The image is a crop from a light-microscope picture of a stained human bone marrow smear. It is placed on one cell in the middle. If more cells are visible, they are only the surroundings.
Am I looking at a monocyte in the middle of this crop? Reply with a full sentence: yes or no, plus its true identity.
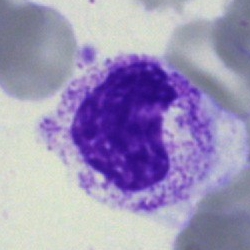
No, not a monocyte: the cell in the middle of this crop is a metamyelocyte.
